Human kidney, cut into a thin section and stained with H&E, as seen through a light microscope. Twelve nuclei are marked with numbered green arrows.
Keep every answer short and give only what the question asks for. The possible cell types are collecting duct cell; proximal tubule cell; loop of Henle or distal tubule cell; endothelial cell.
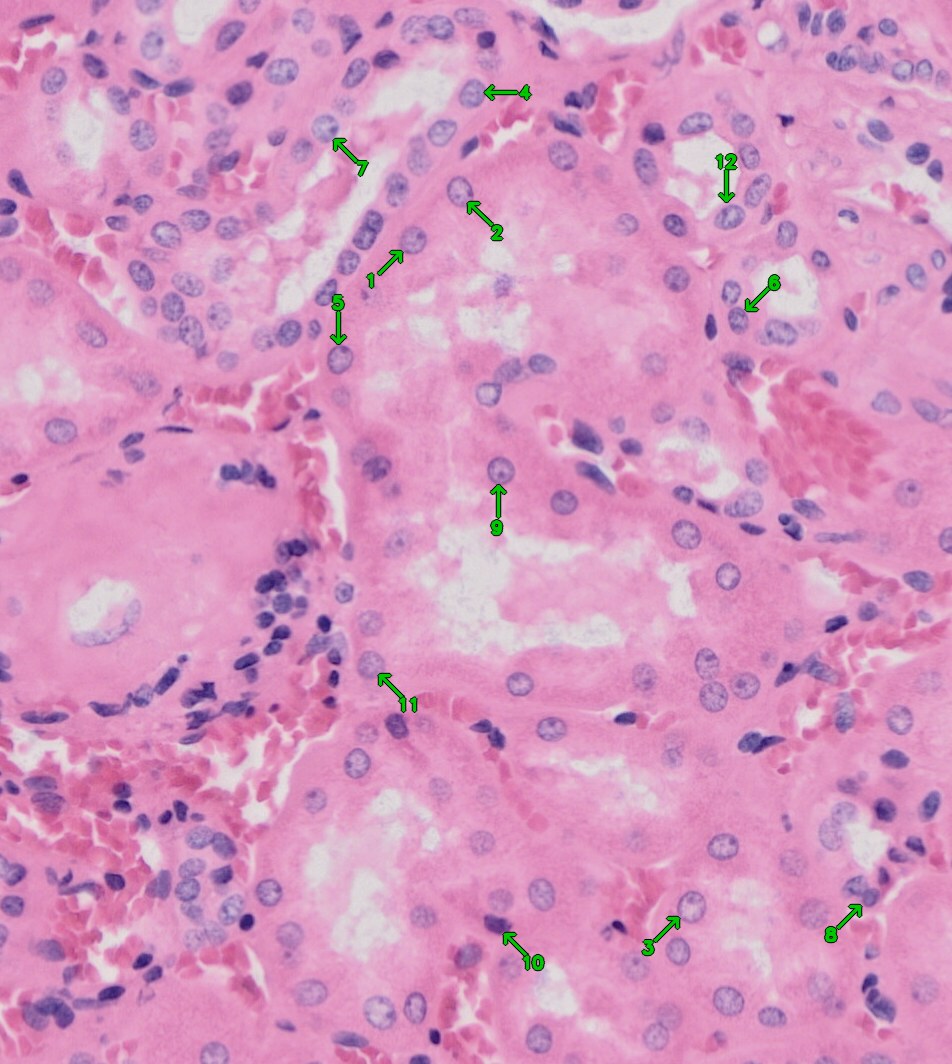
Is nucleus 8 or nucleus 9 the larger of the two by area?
9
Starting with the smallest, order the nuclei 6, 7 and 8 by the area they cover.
8, 6, 7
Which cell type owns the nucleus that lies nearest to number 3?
proximal tubule cell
